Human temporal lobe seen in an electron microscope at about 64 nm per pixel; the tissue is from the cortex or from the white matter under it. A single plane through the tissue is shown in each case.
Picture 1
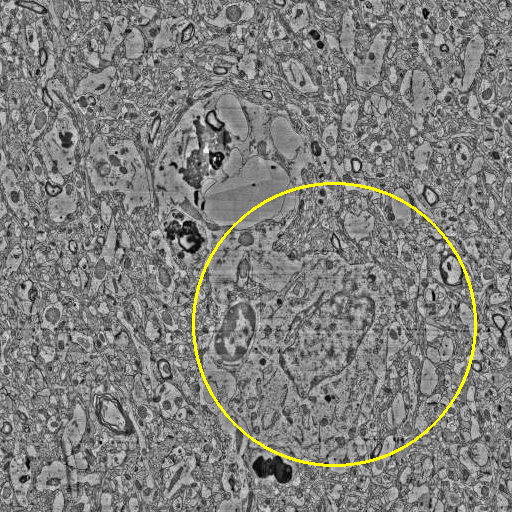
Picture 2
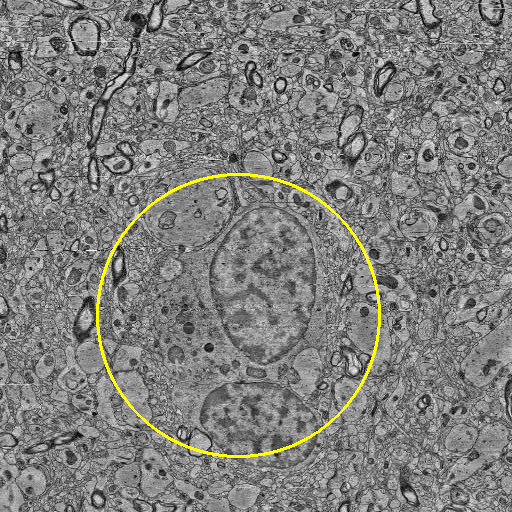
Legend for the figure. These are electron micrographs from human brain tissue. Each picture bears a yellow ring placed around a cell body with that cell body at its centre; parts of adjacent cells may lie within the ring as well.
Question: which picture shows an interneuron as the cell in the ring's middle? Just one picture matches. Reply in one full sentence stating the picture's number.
It is picture 1 whose yellow ring is centred on the requested cell.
